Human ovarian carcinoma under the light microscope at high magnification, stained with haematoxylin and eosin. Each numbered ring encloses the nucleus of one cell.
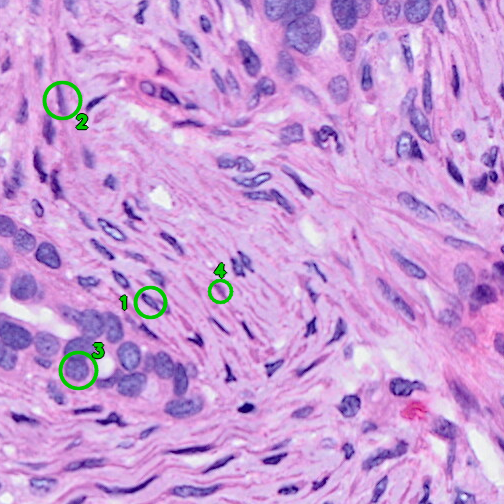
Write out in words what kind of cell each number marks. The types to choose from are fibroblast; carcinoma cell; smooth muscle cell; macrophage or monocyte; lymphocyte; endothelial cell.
Cell 1 is a fibroblast, cell 2 is a fibroblast, cell 3 is a carcinoma cell and cell 4 is a fibroblast.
